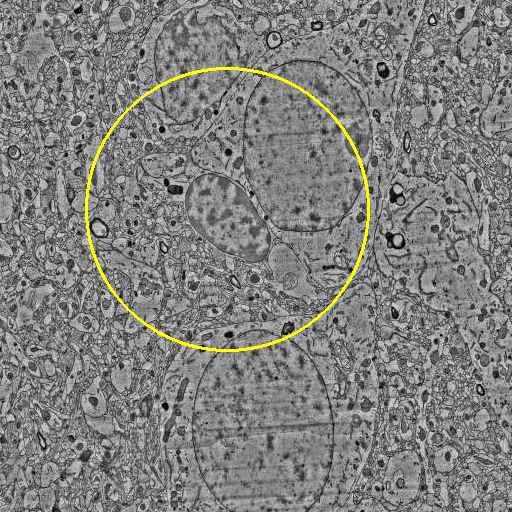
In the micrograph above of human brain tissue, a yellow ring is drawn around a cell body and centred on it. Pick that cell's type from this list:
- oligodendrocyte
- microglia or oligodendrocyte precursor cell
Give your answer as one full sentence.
Going by the list, a microglial cell or oligodendrocyte precursor cell is the cell on which the yellow ring is centred.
